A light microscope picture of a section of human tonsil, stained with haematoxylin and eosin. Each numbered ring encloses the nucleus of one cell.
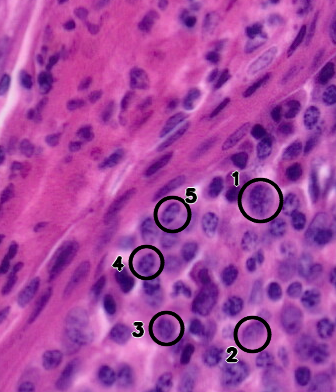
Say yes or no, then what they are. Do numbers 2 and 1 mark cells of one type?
Yes, in terms of cell type, cells 2 and 1 are both squamous epithelial cells.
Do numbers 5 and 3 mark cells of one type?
Yes, the two numbered cells 5 and 3 are both plasma cells.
